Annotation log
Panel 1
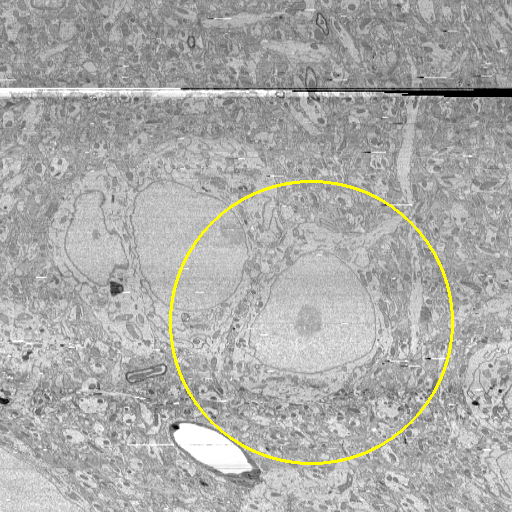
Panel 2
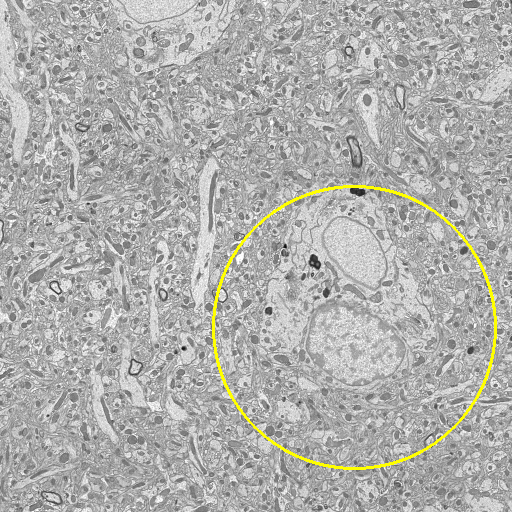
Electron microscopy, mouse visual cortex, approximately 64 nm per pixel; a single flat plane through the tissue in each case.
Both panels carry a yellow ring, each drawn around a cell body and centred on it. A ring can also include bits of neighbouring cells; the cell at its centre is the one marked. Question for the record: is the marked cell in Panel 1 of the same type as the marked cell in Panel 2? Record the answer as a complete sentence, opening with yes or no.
No, the marked cells in Panel 1 and Panel 2 are of two types.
